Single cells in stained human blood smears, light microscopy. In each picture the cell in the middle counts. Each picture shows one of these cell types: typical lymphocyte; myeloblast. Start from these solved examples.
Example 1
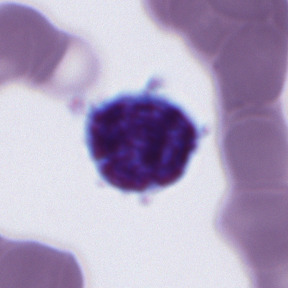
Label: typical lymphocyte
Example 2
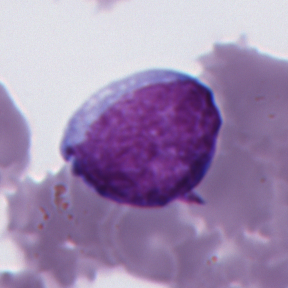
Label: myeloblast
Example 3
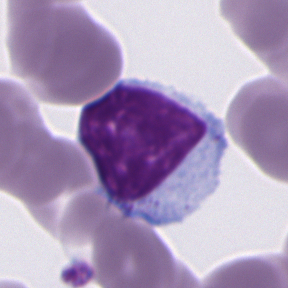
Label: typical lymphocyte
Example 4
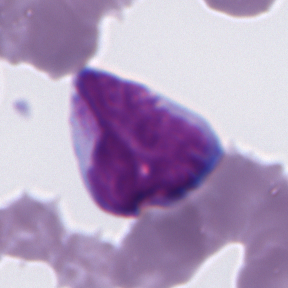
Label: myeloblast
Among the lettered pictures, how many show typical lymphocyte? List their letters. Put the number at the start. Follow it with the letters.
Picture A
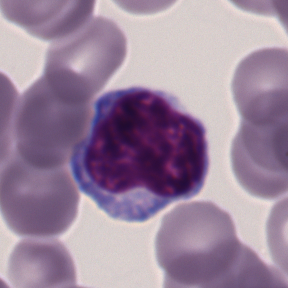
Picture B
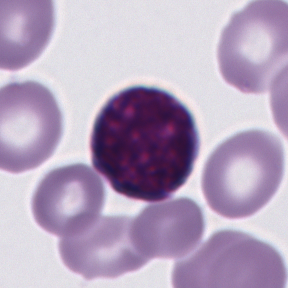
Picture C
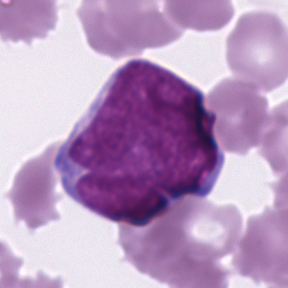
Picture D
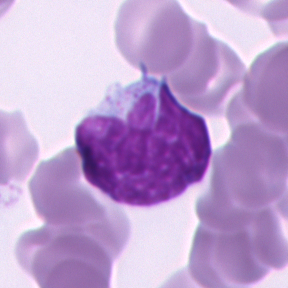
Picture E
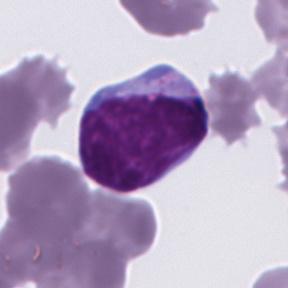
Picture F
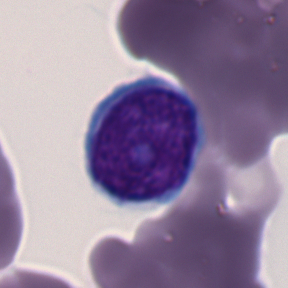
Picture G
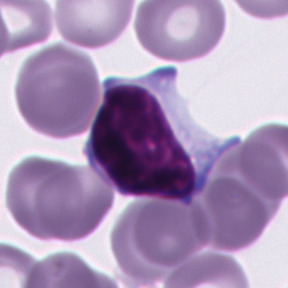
Count: 4 (A, D, F, G)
